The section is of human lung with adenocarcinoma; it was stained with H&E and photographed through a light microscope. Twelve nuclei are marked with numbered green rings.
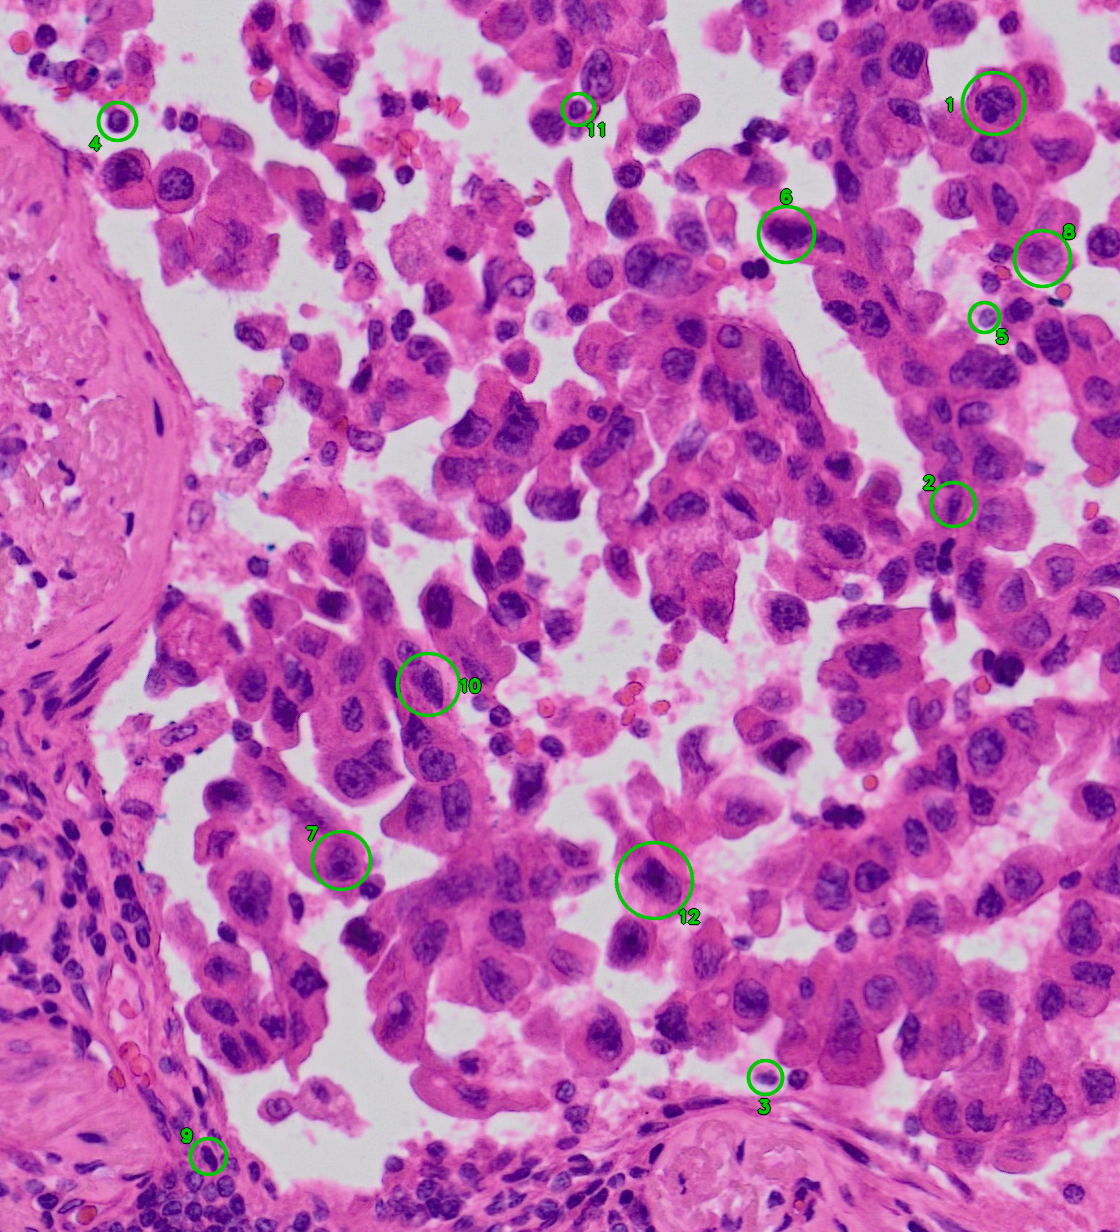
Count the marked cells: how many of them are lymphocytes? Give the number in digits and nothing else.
5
